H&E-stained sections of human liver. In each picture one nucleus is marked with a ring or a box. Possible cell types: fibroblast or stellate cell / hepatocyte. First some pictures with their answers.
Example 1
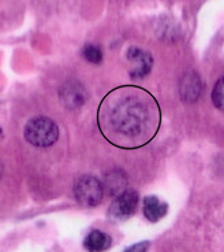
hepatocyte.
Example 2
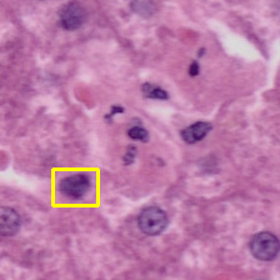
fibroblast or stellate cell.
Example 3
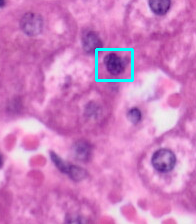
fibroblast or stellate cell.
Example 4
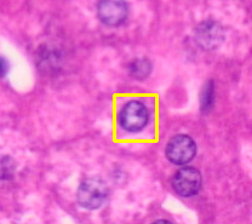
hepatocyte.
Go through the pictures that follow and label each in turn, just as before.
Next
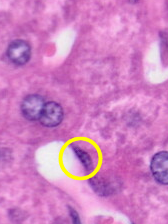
fibroblast or stellate cell.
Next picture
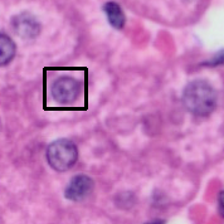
hepatocyte.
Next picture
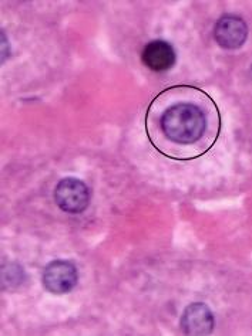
hepatocyte.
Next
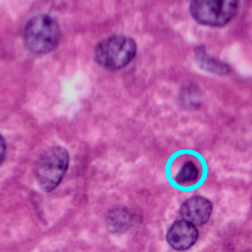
fibroblast or stellate cell.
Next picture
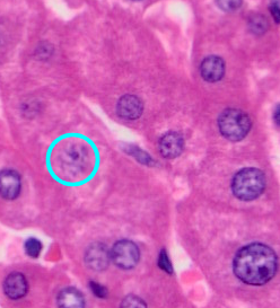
hepatocyte.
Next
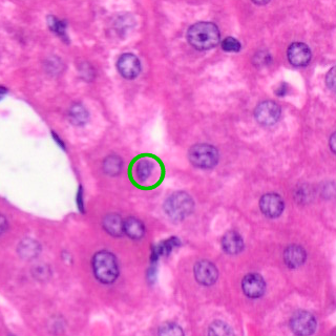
fibroblast or stellate cell.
